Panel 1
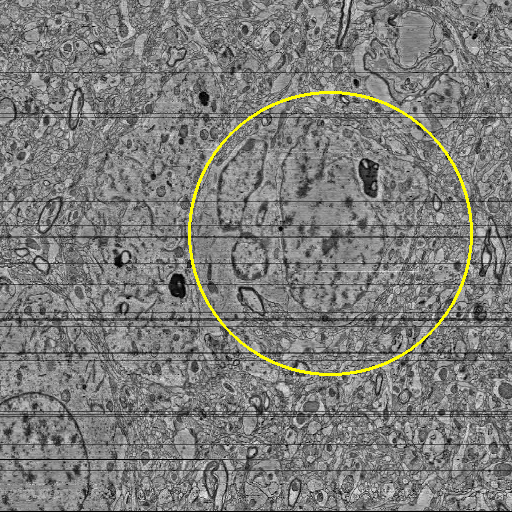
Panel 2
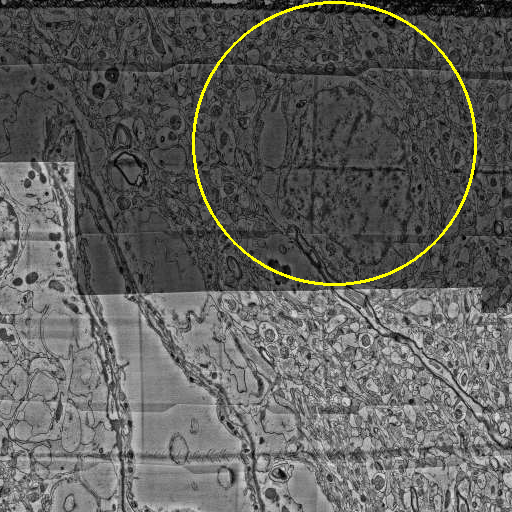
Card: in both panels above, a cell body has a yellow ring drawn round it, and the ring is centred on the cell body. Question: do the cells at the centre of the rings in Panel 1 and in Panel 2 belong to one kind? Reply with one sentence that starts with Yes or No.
Yes, the cells centred in the rings of Panel 1 and Panel 2 are one kind of cell.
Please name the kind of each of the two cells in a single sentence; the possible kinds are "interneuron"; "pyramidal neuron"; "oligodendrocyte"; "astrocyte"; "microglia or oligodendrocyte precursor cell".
In each picture the ringed cell is an interneuron.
